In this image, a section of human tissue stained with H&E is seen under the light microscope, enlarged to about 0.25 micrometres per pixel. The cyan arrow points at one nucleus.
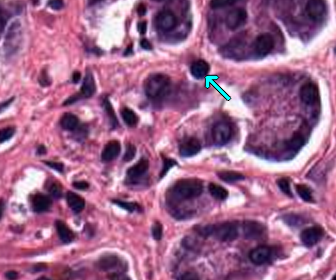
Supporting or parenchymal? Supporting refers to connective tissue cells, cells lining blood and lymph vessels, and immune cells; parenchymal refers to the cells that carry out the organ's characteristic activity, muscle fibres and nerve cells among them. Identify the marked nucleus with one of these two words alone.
supporting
